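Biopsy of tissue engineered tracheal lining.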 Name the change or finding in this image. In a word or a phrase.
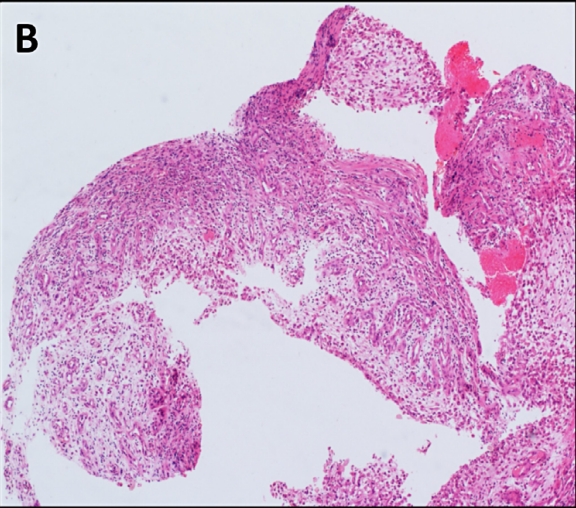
Granulation tissue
